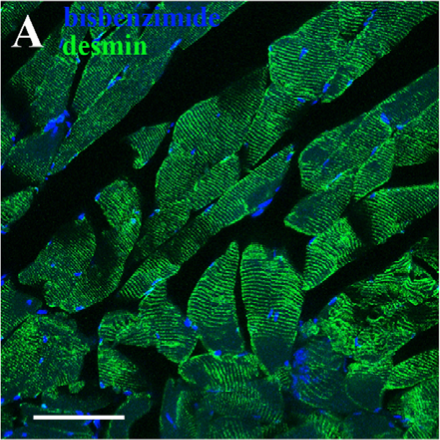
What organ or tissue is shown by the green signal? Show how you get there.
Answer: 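Striated muscle fibers. Large polygonal and elongated fibres fill the field. The green signal forms regular parallel cross-striations within each fibre. Blue nuclei lie at the edges of and between the fibres.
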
